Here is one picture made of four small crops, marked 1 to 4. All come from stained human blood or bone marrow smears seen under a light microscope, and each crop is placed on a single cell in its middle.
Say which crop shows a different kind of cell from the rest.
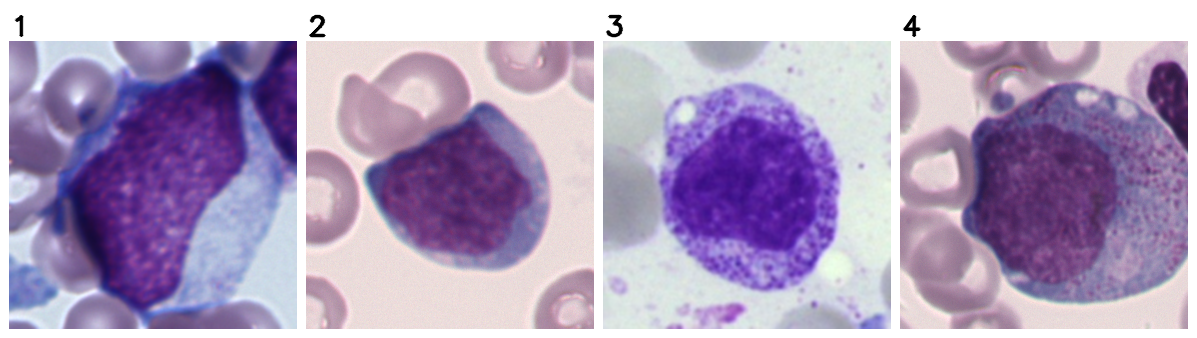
2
